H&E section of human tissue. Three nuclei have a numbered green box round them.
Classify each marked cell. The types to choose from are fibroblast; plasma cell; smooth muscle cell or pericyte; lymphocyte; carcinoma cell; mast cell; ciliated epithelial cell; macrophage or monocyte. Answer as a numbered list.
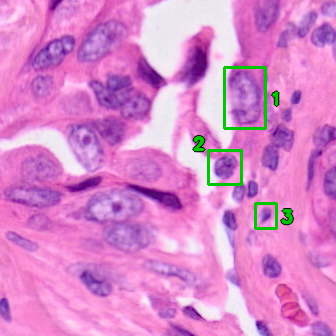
1. carcinoma cell
2. lymphocyte
3. lymphocyte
